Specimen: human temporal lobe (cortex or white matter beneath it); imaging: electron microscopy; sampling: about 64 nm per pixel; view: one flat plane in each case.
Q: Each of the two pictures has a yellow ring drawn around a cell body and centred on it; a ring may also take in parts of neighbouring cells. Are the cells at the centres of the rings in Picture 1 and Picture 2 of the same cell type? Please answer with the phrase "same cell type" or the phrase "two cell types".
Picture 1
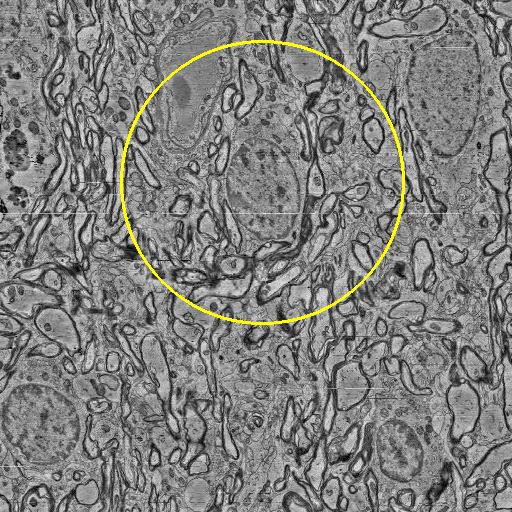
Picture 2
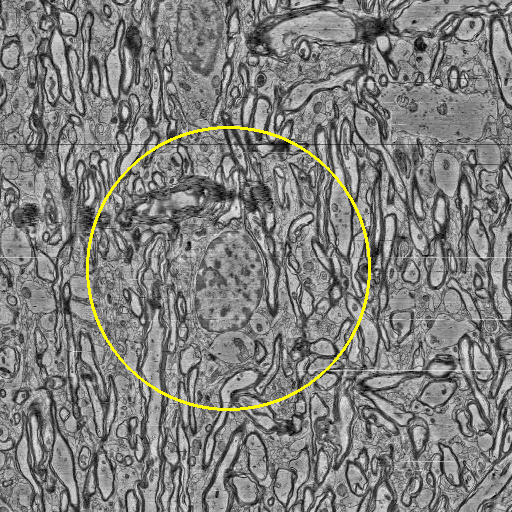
two cell types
